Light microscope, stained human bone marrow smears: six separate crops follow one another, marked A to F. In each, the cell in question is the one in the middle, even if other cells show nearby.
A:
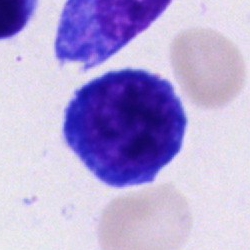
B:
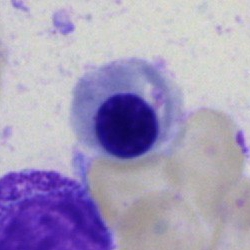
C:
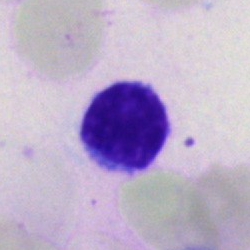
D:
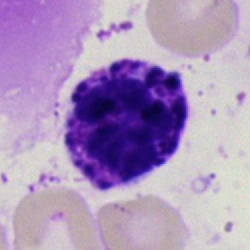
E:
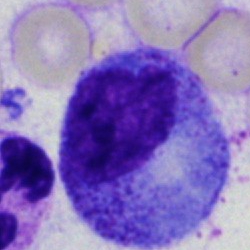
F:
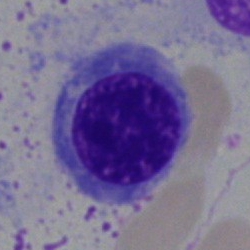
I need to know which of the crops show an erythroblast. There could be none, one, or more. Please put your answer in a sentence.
Crops A, B and F hold erythroblasts in the centre of the field.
